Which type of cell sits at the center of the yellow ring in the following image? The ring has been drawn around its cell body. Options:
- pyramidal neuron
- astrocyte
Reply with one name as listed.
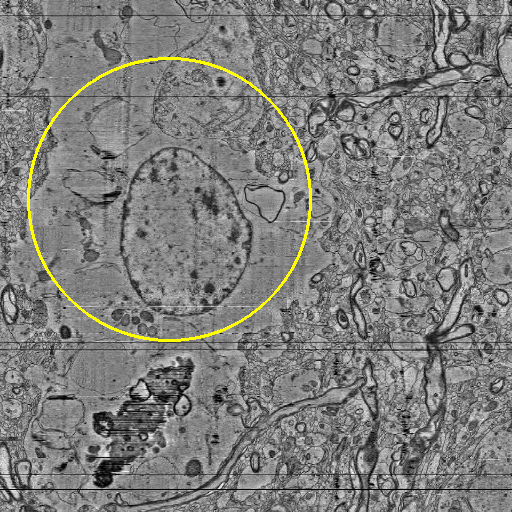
astrocyte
